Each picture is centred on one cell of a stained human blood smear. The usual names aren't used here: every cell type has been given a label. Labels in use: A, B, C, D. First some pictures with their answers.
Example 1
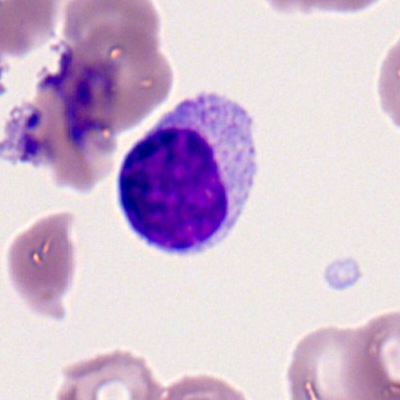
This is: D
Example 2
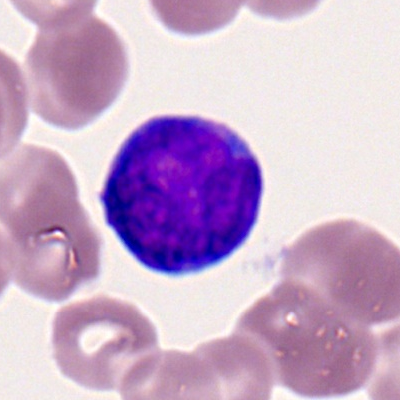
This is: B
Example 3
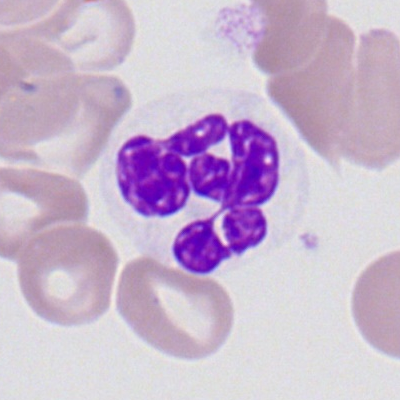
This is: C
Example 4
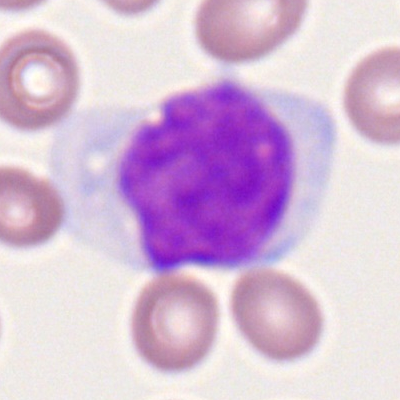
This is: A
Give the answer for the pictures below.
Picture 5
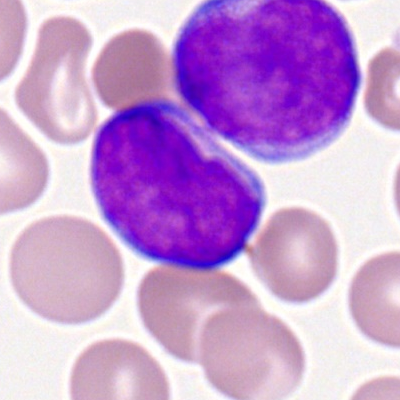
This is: B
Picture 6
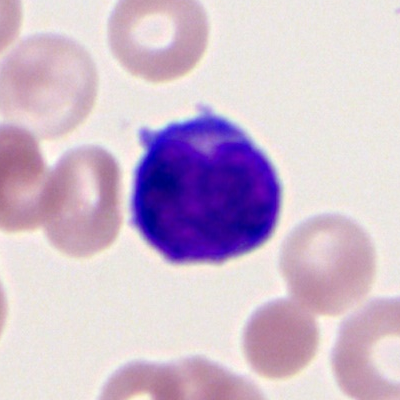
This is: B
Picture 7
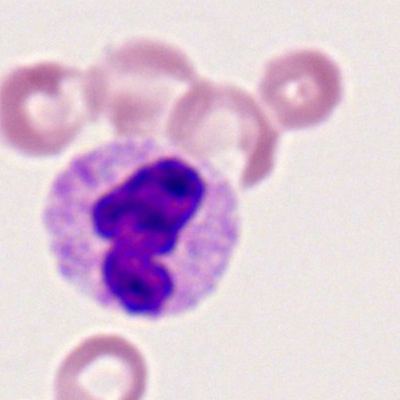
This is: C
